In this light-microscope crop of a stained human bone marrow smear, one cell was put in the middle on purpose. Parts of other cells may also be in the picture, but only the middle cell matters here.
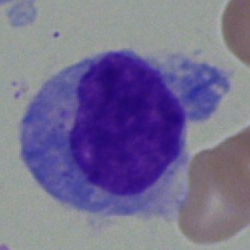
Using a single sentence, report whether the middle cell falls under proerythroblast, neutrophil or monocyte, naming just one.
As for the cell in the middle, it is a monocyte.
